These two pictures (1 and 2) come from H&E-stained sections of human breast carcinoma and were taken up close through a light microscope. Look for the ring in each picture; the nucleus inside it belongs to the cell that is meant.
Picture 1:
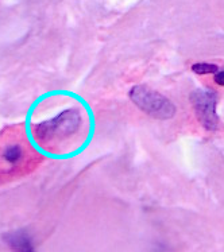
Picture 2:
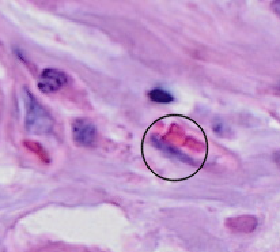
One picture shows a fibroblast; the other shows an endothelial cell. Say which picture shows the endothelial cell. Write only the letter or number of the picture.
2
